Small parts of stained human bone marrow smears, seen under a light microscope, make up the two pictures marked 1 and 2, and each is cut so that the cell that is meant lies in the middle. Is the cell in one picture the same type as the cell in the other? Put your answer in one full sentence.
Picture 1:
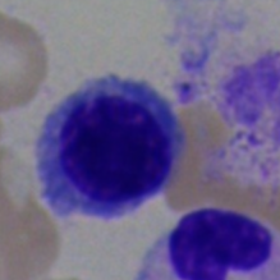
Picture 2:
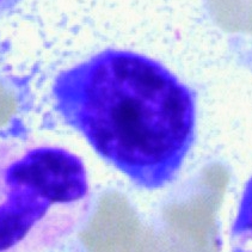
No, they differ: the cell is an erythroblast in picture 1 and a lymphocyte in picture 2.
